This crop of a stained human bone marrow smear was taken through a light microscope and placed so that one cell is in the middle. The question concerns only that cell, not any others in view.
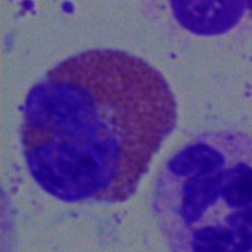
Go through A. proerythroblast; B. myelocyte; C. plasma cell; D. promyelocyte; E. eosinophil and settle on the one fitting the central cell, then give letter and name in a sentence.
Correctly, option E names the cell in the middle an eosinophil.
